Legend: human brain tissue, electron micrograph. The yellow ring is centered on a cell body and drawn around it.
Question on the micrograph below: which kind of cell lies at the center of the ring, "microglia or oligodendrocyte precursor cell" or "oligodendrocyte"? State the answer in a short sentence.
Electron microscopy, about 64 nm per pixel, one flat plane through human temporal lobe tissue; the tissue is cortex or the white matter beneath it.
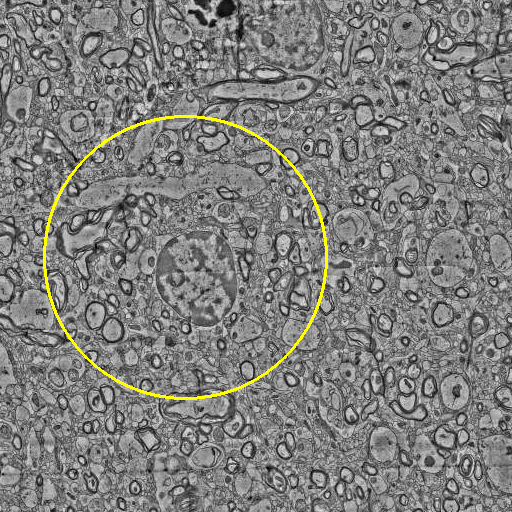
At the center of the ring lies a microglial cell or oligodendrocyte precursor cell.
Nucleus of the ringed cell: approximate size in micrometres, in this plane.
About 6 by 5 micrometres in this plane.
